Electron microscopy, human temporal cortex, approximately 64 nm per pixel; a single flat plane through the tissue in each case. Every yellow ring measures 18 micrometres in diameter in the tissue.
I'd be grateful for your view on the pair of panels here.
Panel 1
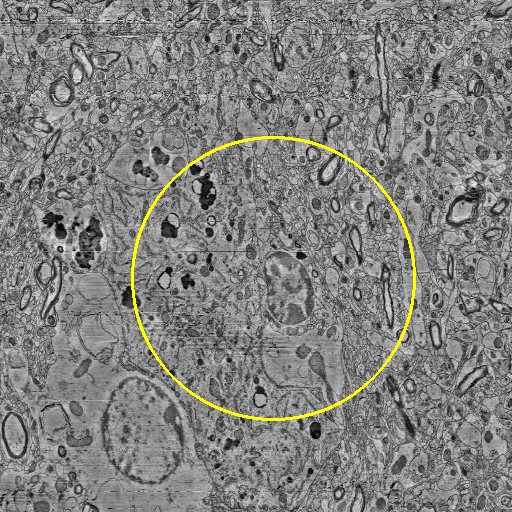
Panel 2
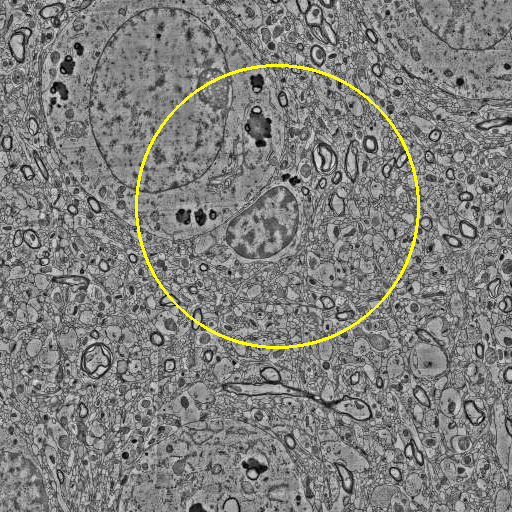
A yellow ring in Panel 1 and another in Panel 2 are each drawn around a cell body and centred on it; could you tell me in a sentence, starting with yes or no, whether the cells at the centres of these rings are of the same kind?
Yes, they are the same kind of cell.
